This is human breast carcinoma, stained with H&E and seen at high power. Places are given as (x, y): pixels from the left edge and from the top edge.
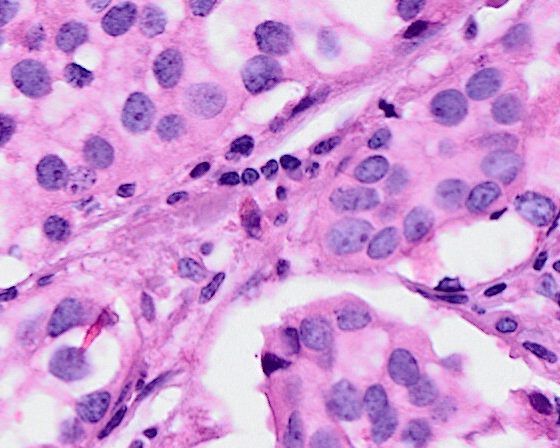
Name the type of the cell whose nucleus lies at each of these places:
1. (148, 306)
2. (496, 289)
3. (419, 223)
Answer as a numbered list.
1. fibroblast
2. lymphocyte
3. carcinoma cell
